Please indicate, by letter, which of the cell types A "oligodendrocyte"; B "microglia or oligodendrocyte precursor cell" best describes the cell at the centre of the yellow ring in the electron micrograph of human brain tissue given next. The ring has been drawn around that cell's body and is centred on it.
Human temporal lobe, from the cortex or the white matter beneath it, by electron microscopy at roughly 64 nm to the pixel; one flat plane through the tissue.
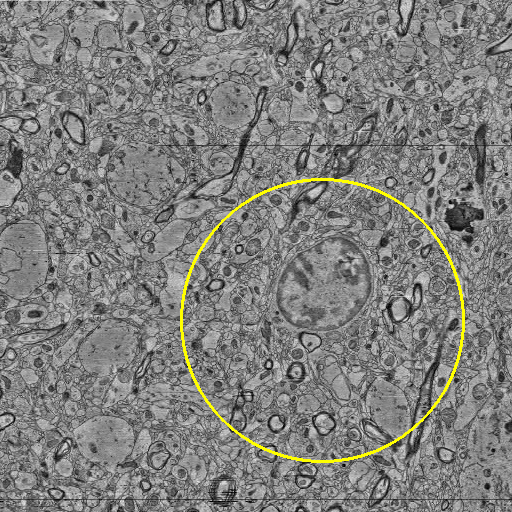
A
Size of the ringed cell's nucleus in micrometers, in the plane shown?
Approximately 7 x 5 micrometres in this plane.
